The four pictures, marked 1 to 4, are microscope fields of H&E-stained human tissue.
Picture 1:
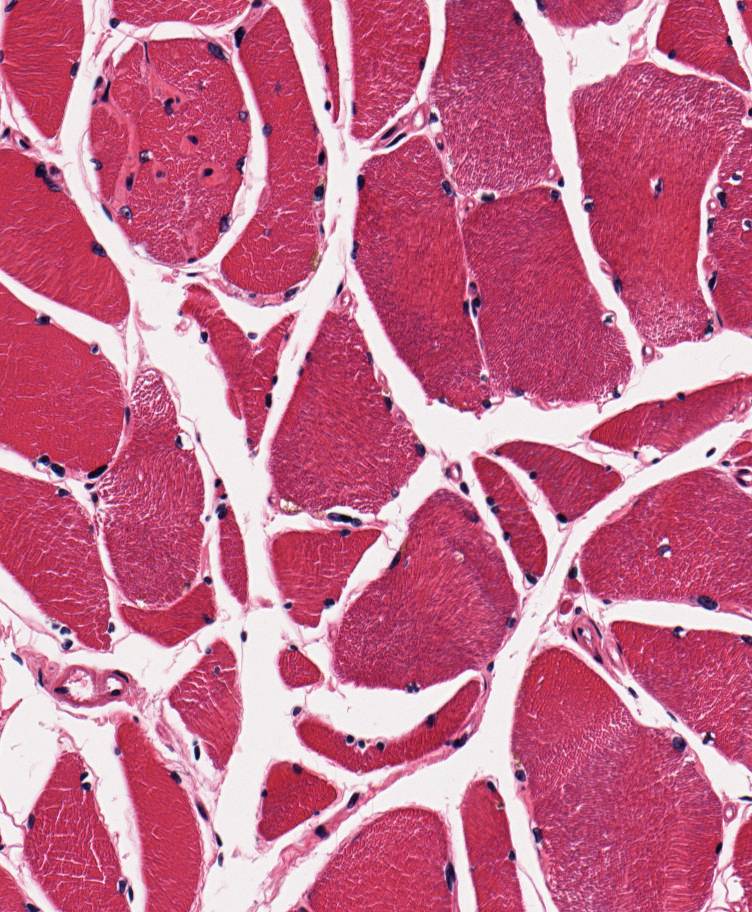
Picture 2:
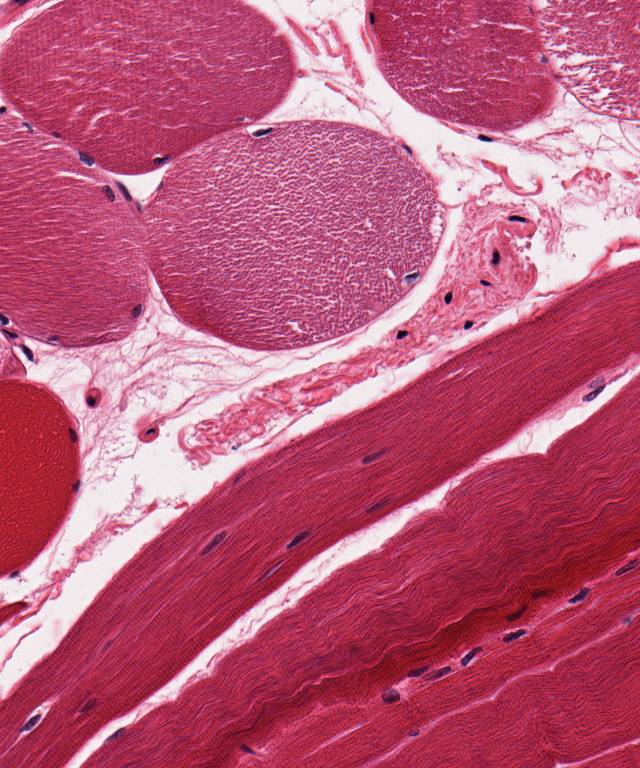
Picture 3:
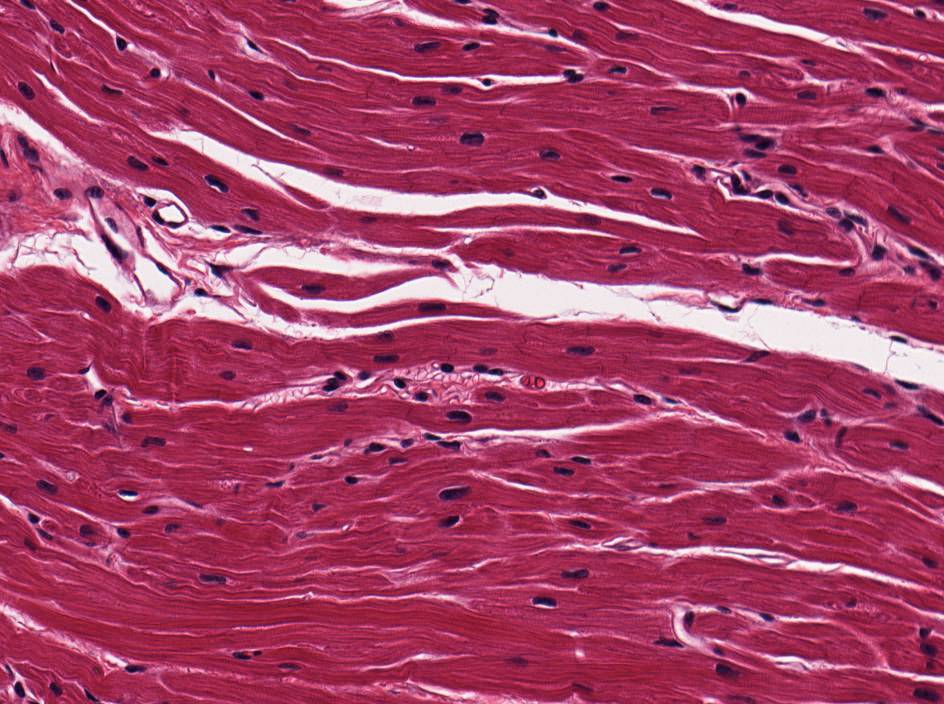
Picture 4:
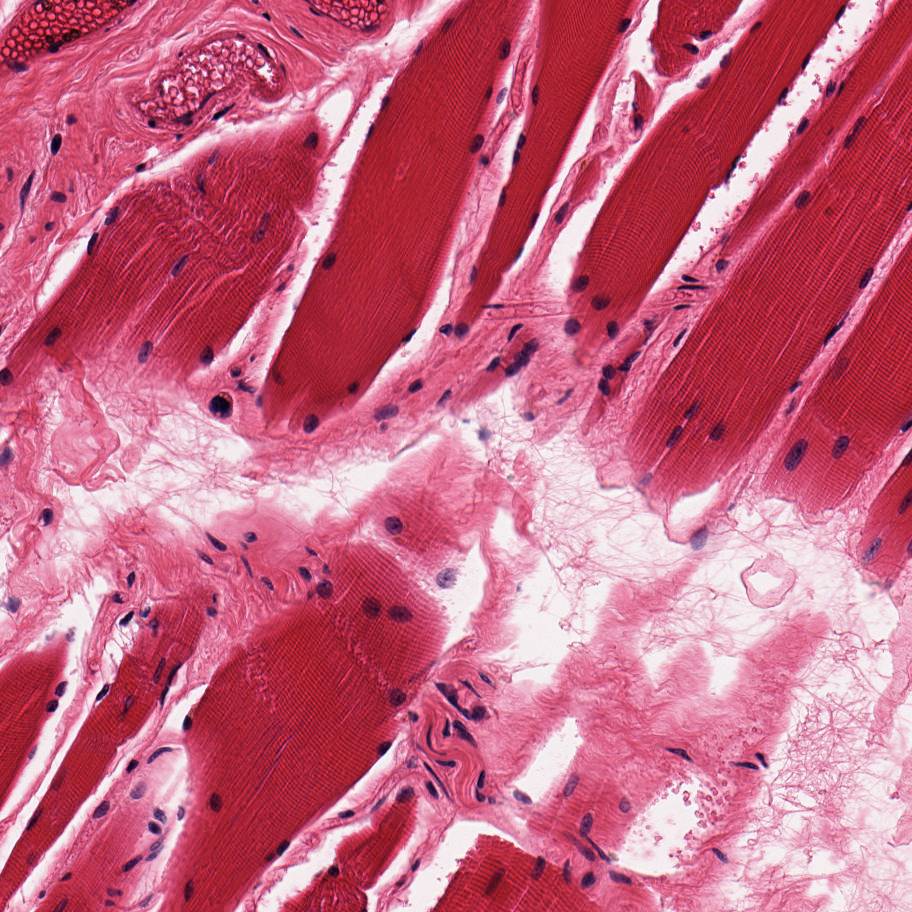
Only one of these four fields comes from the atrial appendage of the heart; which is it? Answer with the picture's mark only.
3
